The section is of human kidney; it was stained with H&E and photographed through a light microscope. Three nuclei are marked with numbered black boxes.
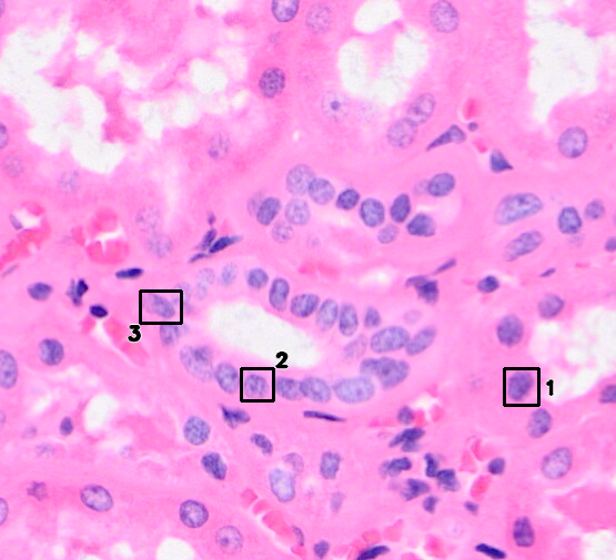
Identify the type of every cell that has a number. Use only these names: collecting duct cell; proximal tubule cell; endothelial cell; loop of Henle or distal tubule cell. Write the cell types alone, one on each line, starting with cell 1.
loop of Henle or distal tubule cell
collecting duct cell
collecting duct cell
